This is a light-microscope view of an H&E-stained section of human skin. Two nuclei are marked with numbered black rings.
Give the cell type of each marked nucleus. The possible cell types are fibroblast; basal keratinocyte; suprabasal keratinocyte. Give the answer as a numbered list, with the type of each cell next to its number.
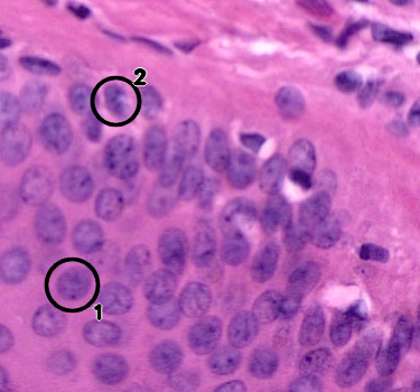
1. suprabasal keratinocyte
2. basal keratinocyte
